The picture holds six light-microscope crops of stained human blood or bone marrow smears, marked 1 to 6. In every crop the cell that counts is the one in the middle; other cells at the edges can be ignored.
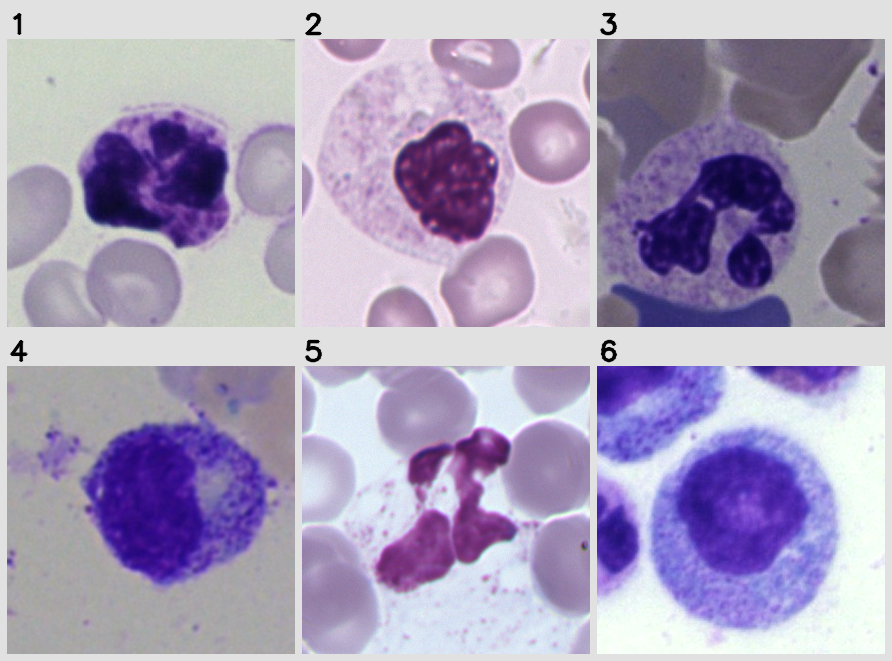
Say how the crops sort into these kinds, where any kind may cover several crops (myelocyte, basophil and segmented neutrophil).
1: basophil
2: segmented neutrophil
3: segmented neutrophil
4: myelocyte
5: segmented neutrophil
6: myelocyte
